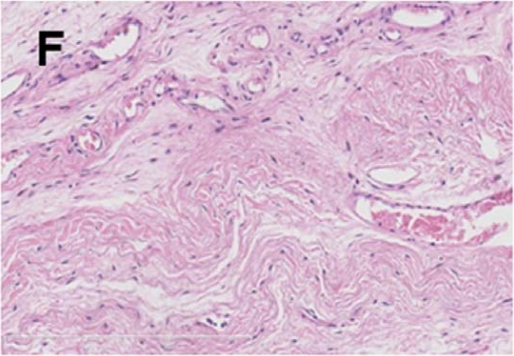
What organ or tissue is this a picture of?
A: Oriented bundles of collagenous connective tissue.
